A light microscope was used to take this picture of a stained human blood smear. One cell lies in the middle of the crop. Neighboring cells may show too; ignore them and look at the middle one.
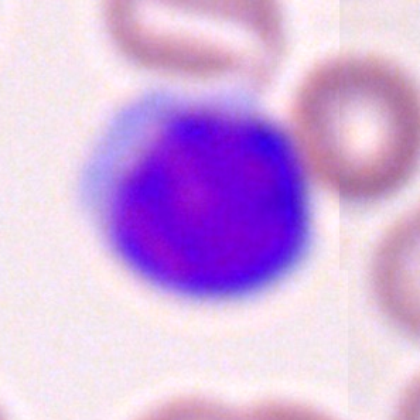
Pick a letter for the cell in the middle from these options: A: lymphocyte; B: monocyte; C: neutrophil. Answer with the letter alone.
A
